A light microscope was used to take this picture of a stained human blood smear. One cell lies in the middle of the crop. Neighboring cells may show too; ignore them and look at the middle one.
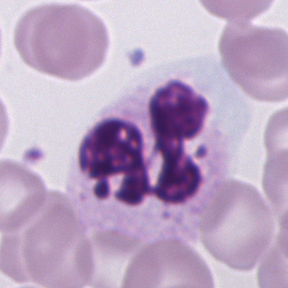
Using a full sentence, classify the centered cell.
The cell the crop is centered on is a segmented neutrophil.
